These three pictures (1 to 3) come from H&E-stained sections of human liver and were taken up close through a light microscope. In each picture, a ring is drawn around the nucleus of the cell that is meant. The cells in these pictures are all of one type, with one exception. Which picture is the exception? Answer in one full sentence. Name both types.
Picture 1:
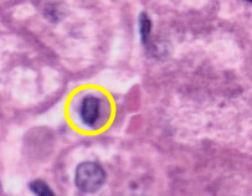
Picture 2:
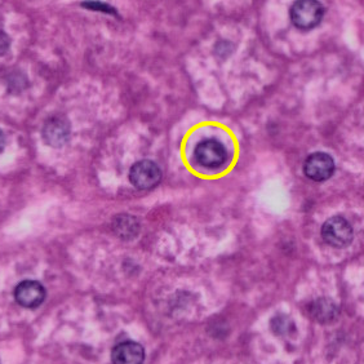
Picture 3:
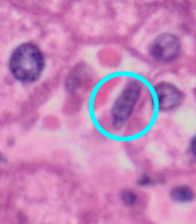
The different one is picture 2; it shows a hepatocyte, whereas all the others show Kupffer cells.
